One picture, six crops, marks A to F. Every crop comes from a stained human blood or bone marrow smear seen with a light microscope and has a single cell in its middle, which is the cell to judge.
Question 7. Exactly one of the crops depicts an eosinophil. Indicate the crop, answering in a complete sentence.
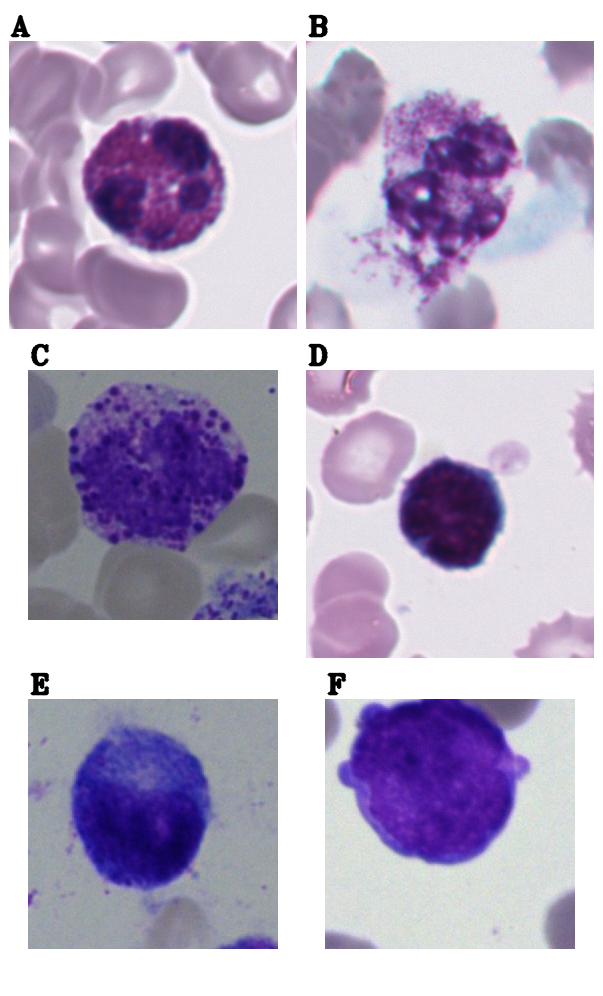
Crop A is the crop that shows an eosinophil in its middle.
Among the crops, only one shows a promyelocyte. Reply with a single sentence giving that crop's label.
Crop E, and no other, is the one that shows a promyelocyte.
